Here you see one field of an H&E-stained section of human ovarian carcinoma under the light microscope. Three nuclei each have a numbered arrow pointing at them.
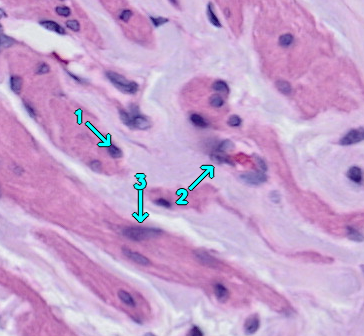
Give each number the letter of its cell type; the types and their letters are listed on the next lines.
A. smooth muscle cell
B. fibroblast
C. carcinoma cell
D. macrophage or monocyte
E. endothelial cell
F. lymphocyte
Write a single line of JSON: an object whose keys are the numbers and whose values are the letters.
{"1": "A", "2": "E", "3": "A"}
